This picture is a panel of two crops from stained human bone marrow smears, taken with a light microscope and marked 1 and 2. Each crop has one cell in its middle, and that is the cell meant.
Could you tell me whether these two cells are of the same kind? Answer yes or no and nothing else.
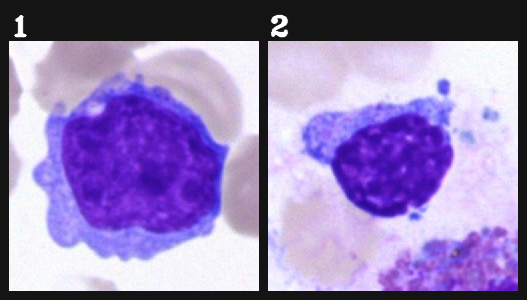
no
